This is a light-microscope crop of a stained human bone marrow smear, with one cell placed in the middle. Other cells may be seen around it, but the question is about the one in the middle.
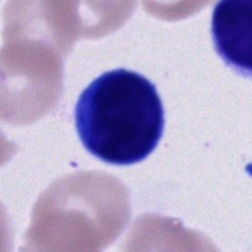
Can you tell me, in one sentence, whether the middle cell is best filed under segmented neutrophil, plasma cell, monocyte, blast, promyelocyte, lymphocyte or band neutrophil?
The centered cell in this crop is a lymphocyte.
